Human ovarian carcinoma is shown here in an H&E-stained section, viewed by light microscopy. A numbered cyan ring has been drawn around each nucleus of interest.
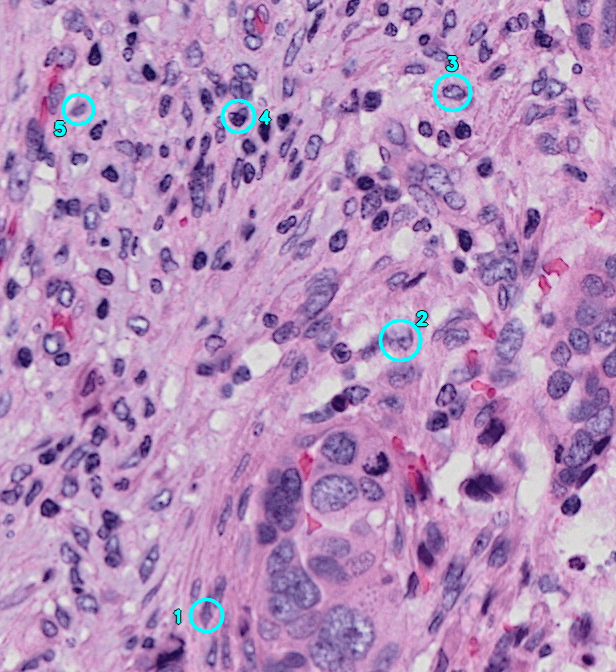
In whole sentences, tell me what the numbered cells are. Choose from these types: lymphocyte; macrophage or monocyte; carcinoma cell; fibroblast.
Cell 1 is a fibroblast, cell 2 is a fibroblast, cell 3 is a fibroblast, cell 4 is a lymphocyte and cell 5 is a lymphocyte.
